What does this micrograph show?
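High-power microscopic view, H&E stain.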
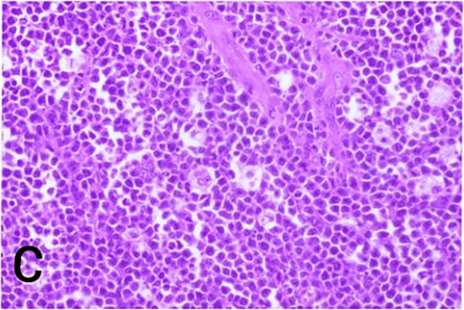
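The field is filled by sheets of closely packed round cells of nearly uniform, intermediate size, each with a round purple nucleus and only a thin rim of cytoplasm. The nuclei lie pressed against one another, some with flattened adjoining edges. Scattered among them are larger cells with abundant pale cytoplasm that stand out as clear spaces in the dark sheet, giving a starry-sky look. A thin pink-walled vessel runs through the upper middle of the field.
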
